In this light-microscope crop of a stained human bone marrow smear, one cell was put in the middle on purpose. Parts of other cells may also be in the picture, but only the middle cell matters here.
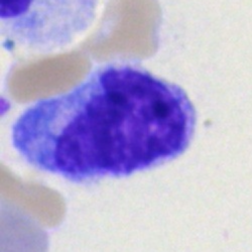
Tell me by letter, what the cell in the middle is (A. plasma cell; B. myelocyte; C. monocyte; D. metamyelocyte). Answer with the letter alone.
C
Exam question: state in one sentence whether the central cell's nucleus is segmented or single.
The nucleus is one compact mass, round, oval or kidney-shaped in outline.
